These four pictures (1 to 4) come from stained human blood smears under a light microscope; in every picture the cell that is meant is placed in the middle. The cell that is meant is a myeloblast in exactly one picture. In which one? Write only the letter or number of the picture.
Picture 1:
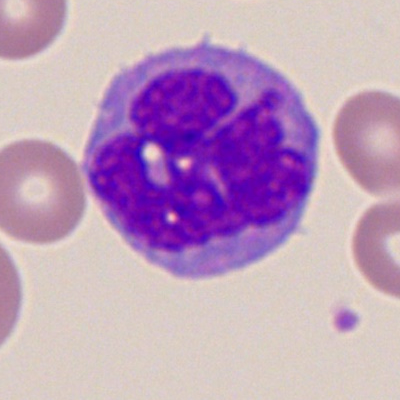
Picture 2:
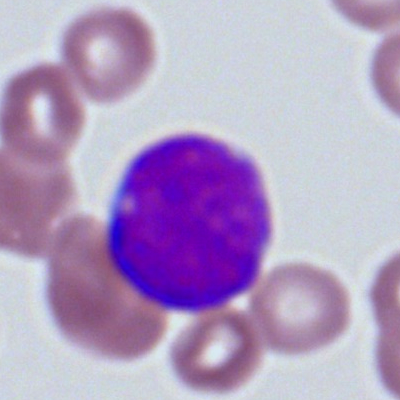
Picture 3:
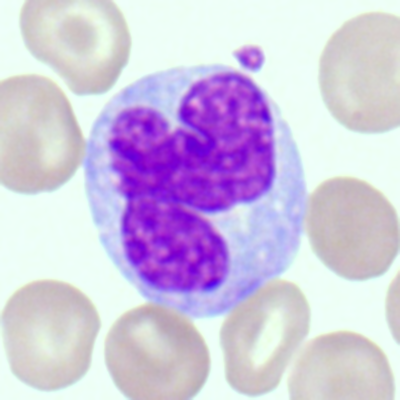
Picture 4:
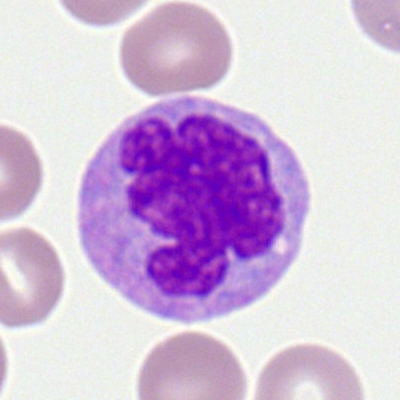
2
